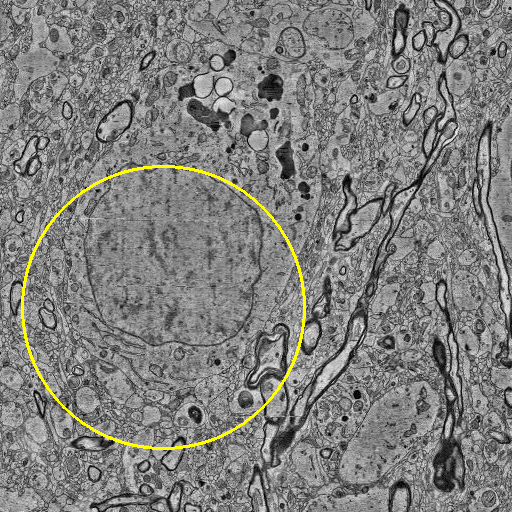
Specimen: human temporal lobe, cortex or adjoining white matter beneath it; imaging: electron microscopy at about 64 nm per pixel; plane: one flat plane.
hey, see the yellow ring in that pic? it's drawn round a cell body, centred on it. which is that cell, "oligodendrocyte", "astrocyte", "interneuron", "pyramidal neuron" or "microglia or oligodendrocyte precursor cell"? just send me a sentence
The cell in the ring is a pyramidal neuron.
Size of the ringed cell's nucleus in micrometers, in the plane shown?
Approximately 13 micrometres across, in this plane.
